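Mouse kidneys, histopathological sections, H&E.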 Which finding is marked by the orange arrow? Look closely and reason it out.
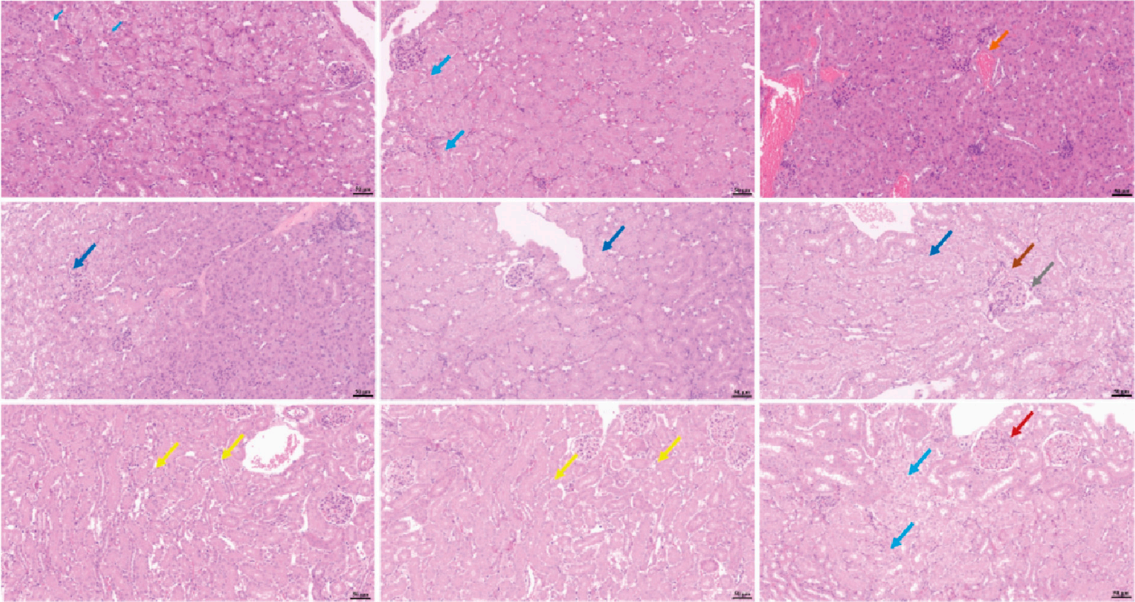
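Vascular congestion. The orange arrow points to a bright red, densely packed area between the tubules. Large red blood-filled spaces lie at the left edge of the same image.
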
